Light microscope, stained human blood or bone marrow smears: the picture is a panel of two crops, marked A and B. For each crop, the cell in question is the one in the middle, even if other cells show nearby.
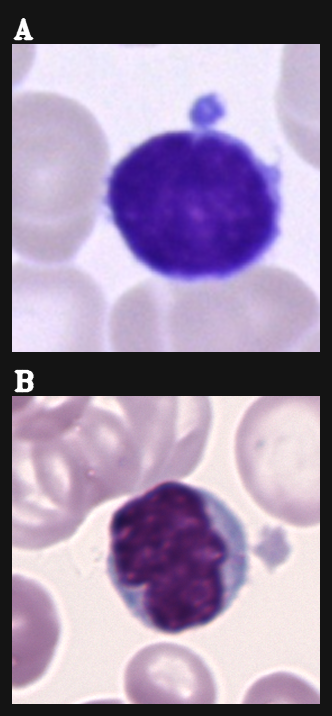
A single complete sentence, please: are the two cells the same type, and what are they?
Yes, in the middle of both crops lie lymphocytes.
